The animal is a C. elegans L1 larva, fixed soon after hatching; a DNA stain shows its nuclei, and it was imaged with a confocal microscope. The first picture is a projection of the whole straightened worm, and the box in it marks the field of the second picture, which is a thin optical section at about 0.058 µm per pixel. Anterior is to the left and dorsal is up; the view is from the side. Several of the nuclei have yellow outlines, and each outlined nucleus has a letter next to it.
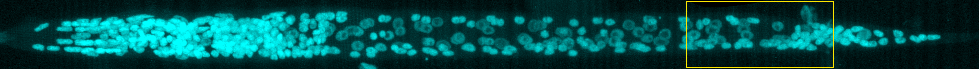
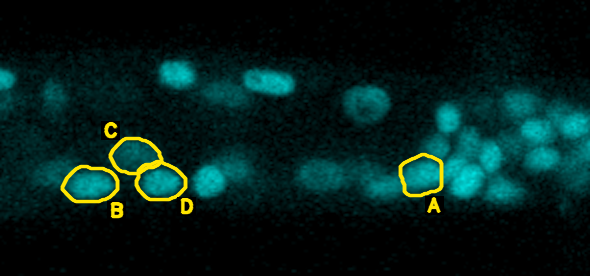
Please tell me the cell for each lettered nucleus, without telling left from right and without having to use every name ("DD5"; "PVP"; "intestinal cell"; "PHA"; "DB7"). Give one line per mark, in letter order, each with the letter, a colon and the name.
A: PVP
B: DD5
C: intestinal cell
D: DB7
